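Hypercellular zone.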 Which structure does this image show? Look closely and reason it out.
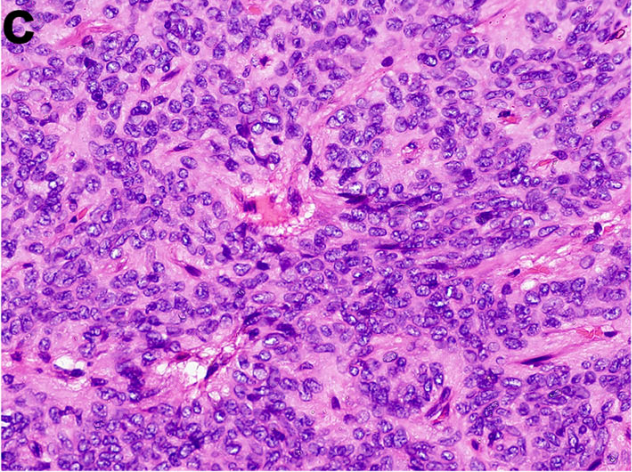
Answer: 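Pseudorosettes. Densely packed oval nuclei are arranged around small vessels. Nucleus-free pink zones surround the vessels.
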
